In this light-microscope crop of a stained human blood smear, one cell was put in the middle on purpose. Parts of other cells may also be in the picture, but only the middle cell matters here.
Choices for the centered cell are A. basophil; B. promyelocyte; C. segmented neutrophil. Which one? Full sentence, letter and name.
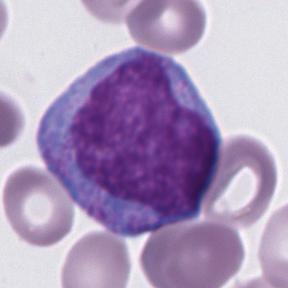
The cell centered in the crop is a promyelocyte, making option B the correct pick.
